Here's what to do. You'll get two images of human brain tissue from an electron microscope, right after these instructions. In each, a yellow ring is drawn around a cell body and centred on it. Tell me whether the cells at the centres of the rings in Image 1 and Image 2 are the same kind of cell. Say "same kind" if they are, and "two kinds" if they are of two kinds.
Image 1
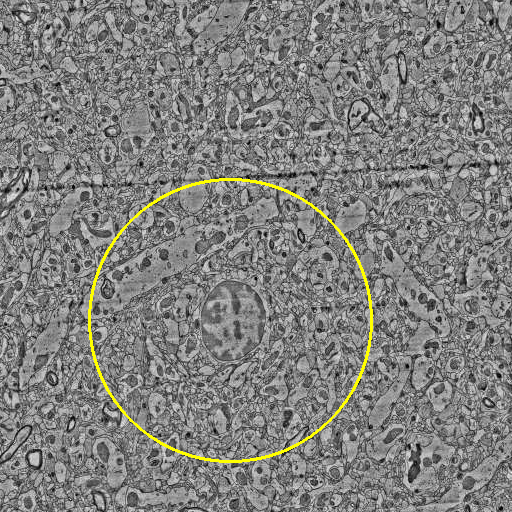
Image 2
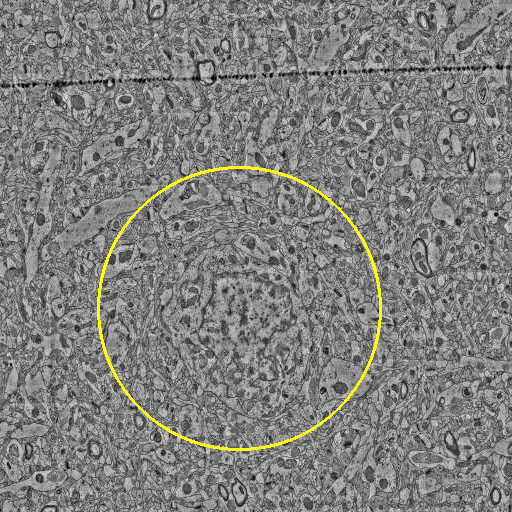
two kinds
